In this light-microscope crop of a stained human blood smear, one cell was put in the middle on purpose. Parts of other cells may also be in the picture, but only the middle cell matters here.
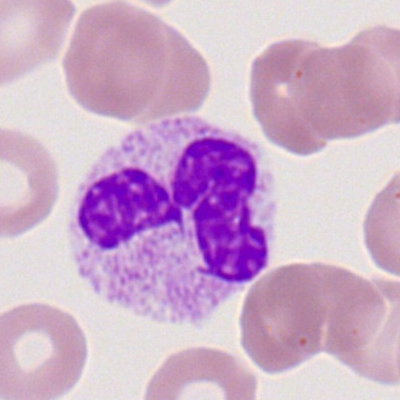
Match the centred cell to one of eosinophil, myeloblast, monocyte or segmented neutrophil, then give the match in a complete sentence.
The cell in the middle of this crop is a segmented neutrophil.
